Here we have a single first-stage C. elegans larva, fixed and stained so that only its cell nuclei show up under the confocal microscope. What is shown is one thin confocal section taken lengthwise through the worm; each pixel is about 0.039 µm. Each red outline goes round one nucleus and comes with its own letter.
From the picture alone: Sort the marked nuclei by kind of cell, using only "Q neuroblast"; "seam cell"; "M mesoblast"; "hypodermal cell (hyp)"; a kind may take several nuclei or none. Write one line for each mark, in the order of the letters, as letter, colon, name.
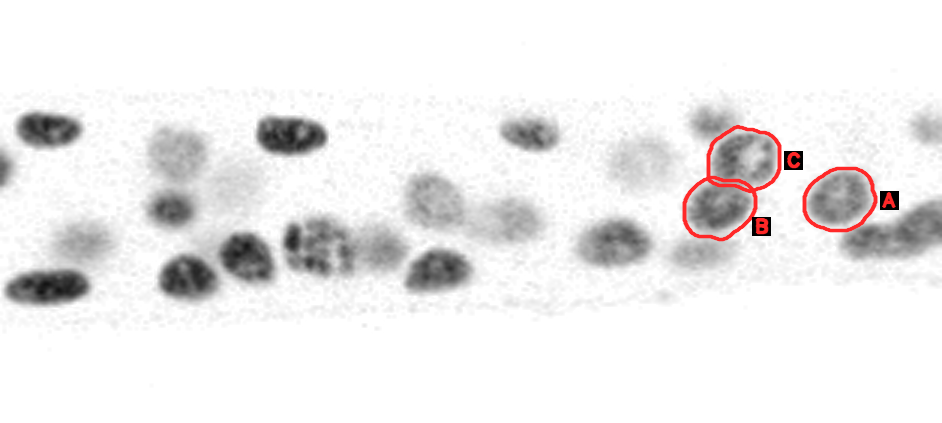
A: seam cell
B: Q neuroblast
C: M mesoblast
